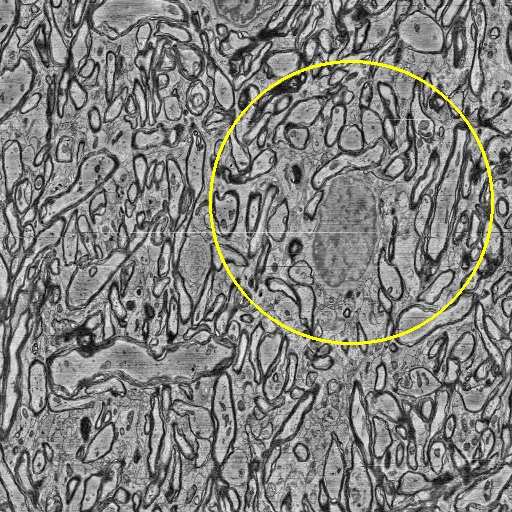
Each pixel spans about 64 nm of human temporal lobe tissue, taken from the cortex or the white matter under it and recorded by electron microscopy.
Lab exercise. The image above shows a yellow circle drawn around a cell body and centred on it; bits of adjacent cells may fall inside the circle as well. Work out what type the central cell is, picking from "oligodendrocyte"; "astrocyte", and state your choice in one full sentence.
In the image above, the cell at the centre of the yellow circle is an oligodendrocyte.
